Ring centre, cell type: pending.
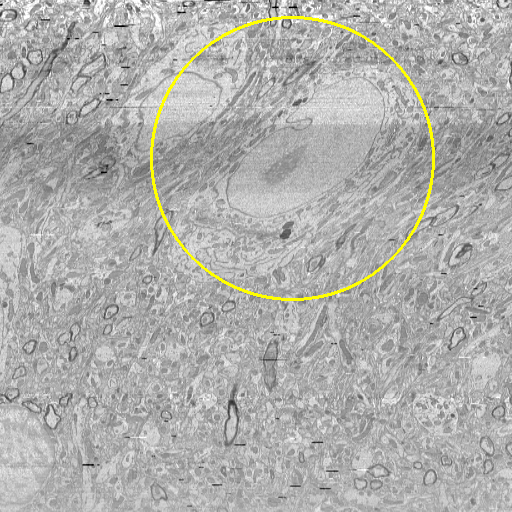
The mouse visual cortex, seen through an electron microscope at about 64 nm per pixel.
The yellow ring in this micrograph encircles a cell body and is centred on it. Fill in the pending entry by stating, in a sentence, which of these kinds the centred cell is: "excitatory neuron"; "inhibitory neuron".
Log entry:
The centred cell is recorded as an inhibitory neuron.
